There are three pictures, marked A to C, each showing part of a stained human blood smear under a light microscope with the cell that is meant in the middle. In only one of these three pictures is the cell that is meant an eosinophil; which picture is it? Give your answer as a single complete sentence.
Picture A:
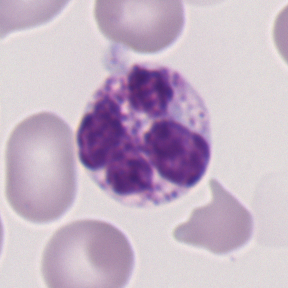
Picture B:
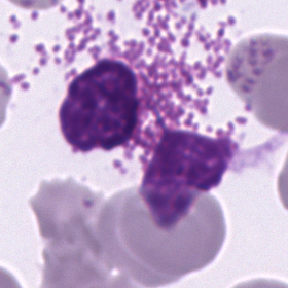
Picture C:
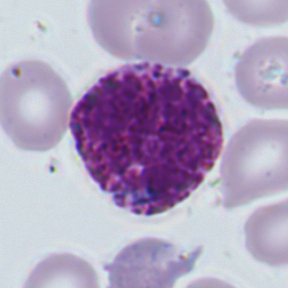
The cell in picture B is the eosinophil.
